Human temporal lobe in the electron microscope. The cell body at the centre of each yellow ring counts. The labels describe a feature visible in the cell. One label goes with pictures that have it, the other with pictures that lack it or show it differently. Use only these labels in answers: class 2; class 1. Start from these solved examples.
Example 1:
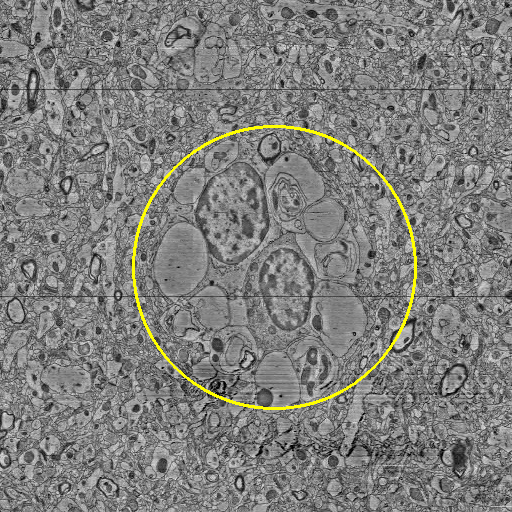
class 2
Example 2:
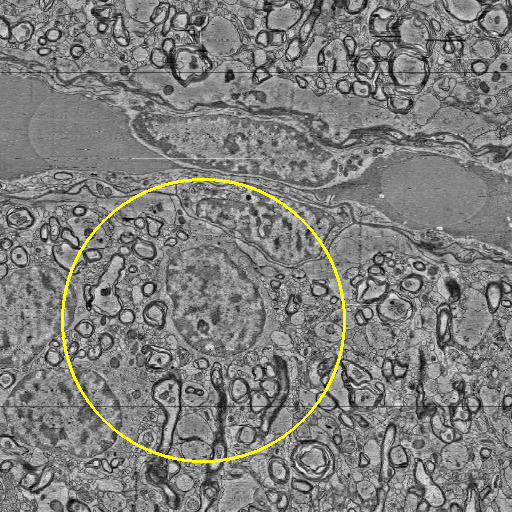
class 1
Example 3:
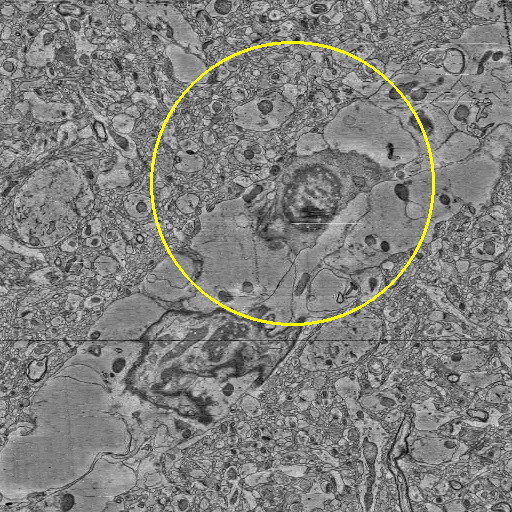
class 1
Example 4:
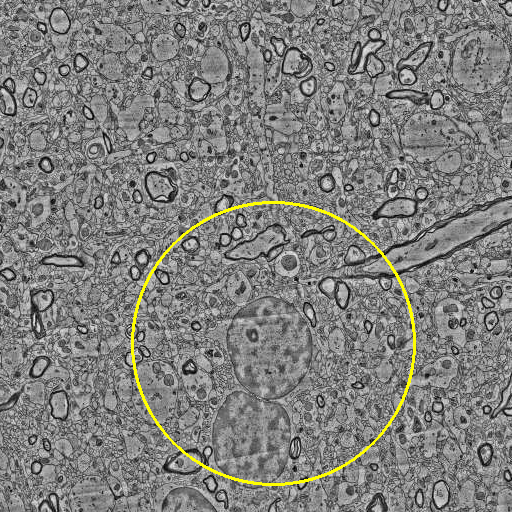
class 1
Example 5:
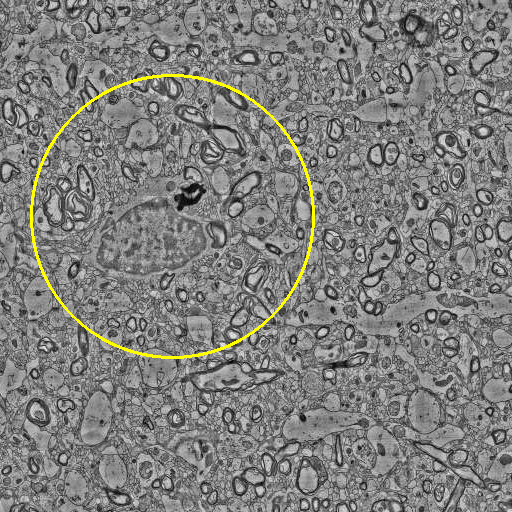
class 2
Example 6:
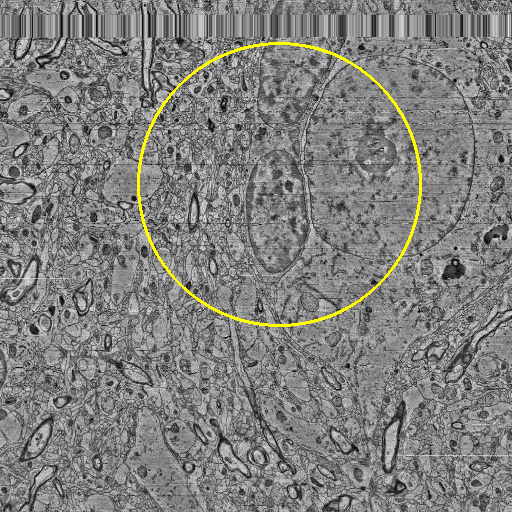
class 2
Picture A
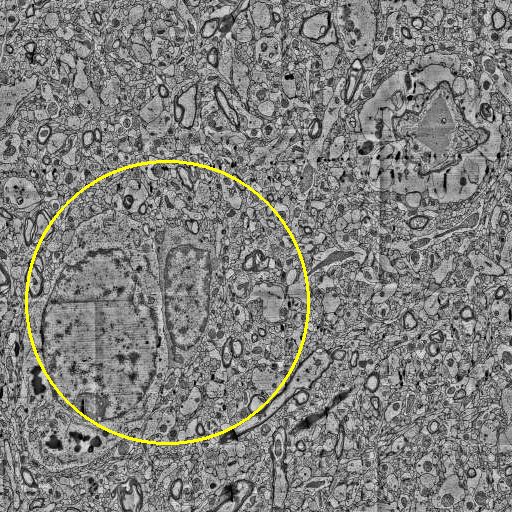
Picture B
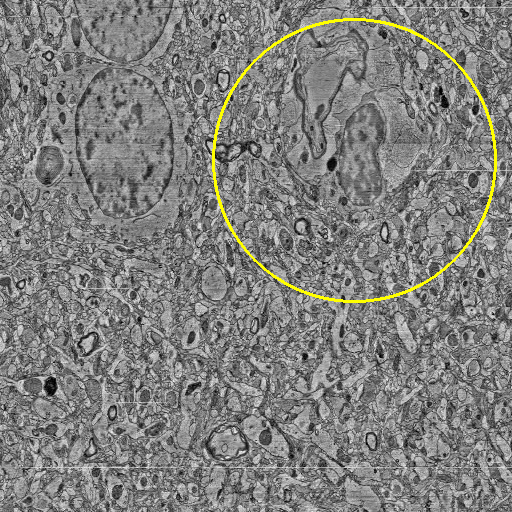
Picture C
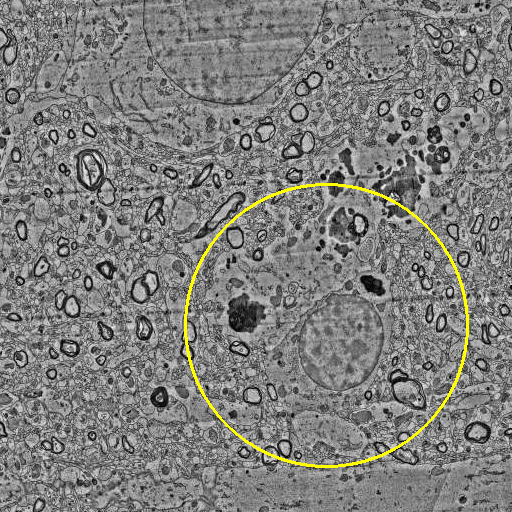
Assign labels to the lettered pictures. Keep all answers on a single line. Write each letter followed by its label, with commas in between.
A class 2, B class 2, C class 1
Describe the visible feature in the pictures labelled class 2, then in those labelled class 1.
In class 2: clearly elongated nuclei. In class 1: round or nearly round nuclei.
